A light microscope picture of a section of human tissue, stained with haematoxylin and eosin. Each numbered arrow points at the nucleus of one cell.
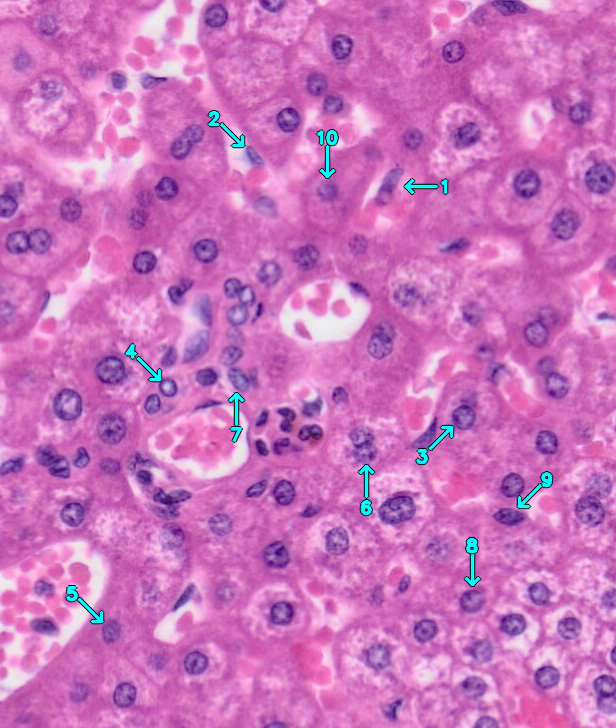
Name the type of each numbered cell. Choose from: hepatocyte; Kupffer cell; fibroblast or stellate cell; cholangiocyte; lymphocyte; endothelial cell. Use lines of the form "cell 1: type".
cell 1: Kupffer cell
cell 2: endothelial cell
cell 3: hepatocyte
cell 4: cholangiocyte
cell 5: hepatocyte
cell 6: hepatocyte
cell 7: cholangiocyte
cell 8: hepatocyte
cell 9: fibroblast or stellate cell
cell 10: hepatocyte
